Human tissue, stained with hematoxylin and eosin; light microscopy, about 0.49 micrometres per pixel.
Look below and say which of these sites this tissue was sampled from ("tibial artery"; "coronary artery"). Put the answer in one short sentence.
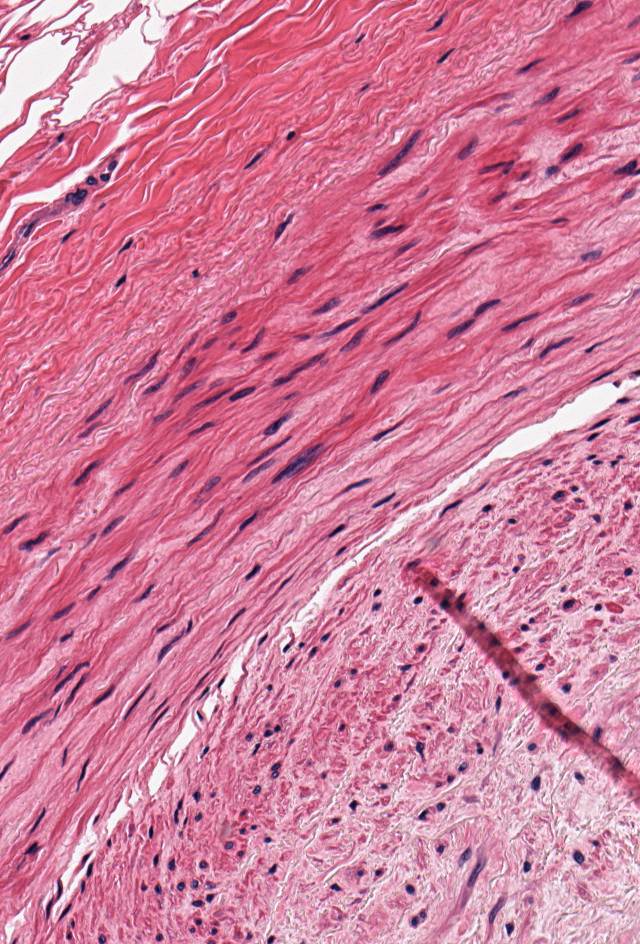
The site this tissue was sampled from is the coronary artery.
